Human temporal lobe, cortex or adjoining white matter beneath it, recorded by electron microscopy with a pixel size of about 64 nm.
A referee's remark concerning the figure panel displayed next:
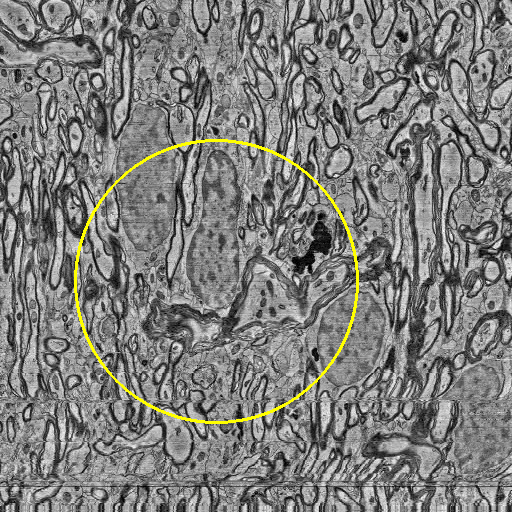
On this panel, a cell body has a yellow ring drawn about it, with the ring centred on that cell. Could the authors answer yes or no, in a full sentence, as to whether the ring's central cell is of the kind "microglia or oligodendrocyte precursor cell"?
Yes, the cell sitting at the middle of the ring on this panel belongs to that kind.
